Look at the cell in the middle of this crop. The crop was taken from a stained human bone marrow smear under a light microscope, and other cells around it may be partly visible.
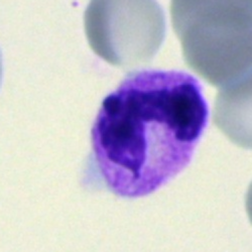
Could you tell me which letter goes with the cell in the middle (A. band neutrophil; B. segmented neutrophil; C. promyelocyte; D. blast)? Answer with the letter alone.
A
